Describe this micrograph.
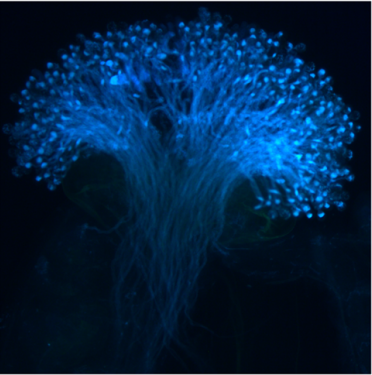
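A pollinated stigma is seen by fluorescence, with pollen grains and their pollen tubes shown in blue on a dark background. The round pollen grains form a dome along the upper edge, and many bright small dots lie among them. From the grains, long thin blue pollen tubes run downward and converge into a dense central bundle toward the bottom of the image.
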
